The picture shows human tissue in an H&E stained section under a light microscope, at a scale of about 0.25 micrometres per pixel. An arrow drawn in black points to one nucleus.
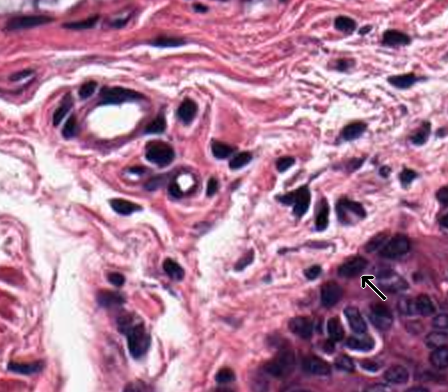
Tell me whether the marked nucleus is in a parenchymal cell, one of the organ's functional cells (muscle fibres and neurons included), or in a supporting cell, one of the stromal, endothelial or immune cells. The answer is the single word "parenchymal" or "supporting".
parenchymal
